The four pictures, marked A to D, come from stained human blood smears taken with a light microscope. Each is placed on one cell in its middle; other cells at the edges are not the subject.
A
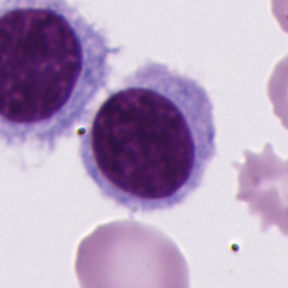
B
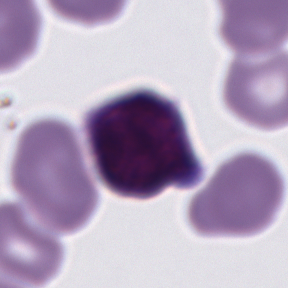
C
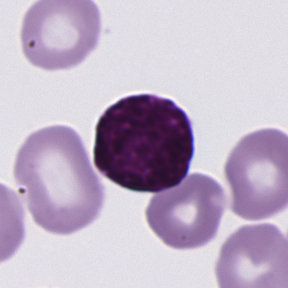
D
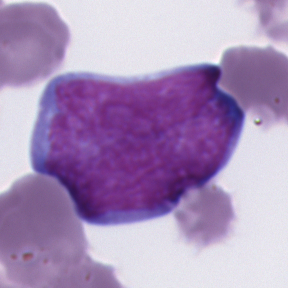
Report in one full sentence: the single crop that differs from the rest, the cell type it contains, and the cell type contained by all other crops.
The single exception is crop A, which is a hairy cell; all other crops show blasts.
